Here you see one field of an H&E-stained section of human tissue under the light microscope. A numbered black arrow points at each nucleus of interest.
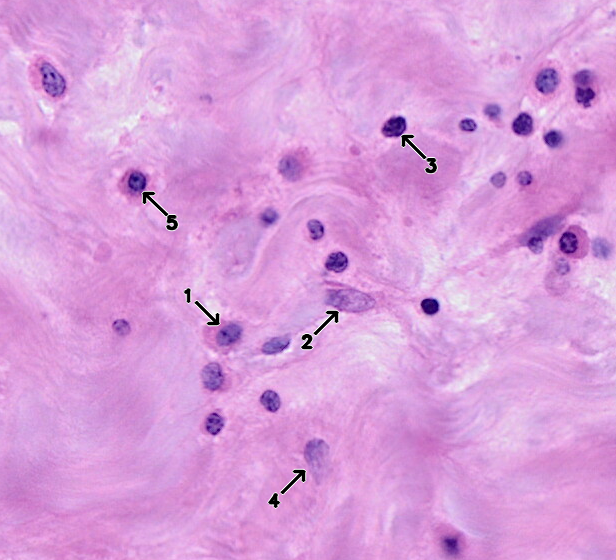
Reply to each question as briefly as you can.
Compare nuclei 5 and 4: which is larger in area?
4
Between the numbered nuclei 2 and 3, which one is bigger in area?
2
